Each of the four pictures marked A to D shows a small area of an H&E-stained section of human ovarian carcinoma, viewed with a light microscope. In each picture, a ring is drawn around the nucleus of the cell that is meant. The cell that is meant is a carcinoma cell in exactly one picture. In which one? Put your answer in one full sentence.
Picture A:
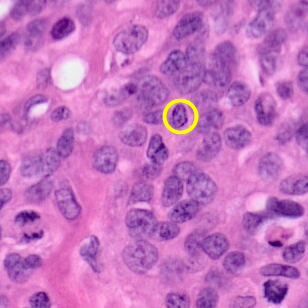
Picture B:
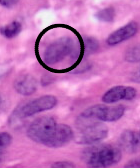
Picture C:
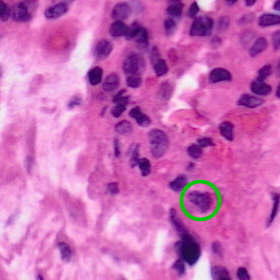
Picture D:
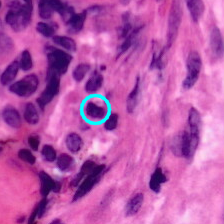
It is picture B that shows the carcinoma cell.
